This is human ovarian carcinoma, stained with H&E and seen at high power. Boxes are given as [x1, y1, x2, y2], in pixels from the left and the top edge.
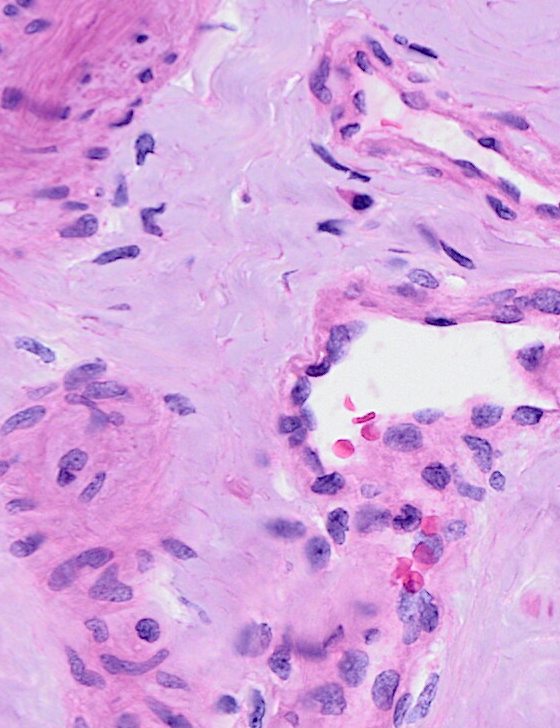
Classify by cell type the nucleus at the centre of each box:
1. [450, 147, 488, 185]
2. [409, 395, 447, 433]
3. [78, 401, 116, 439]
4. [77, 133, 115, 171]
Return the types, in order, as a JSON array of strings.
["endothelial cell", "endothelial cell", "smooth muscle cell", "smooth muscle cell"]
